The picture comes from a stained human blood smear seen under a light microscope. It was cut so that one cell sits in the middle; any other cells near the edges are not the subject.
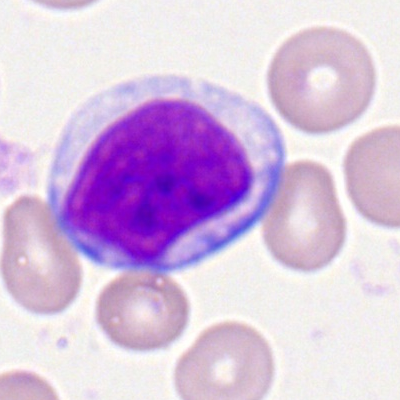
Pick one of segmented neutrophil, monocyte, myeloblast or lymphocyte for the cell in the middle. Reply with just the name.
myeloblast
